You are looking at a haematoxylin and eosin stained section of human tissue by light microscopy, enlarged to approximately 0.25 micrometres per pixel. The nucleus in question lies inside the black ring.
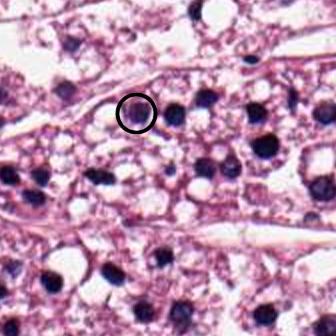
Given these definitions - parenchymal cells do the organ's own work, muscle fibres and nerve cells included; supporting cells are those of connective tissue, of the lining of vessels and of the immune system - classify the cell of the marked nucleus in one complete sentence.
The cell carrying the marked nucleus is an adrenal cortical cell, a parenchymal cell.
